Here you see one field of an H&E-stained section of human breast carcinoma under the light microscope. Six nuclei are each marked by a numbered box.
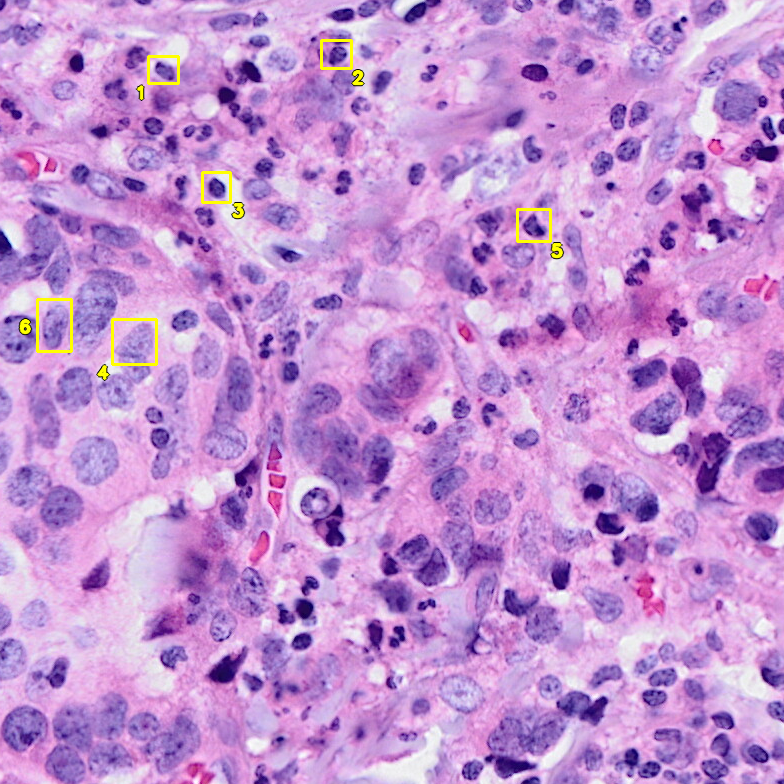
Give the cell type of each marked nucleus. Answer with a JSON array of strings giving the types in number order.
["lymphocyte", "lymphocyte", "lymphocyte", "carcinoma cell", "lymphocyte", "carcinoma cell"]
